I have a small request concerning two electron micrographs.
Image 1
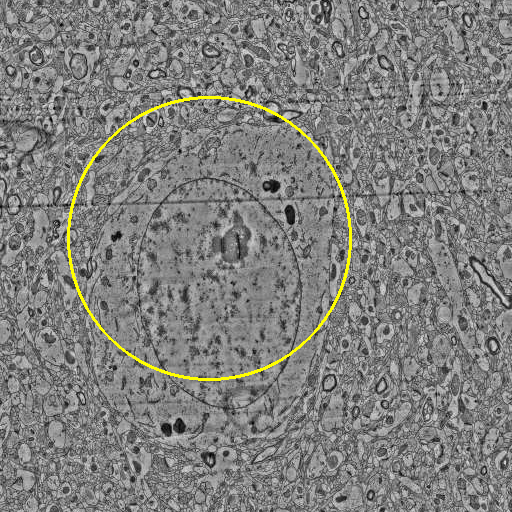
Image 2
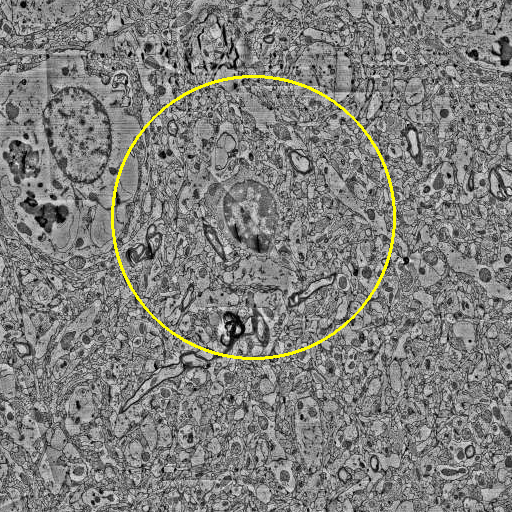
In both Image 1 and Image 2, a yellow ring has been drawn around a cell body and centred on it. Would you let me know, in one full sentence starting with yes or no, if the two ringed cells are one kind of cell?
No, the cells ringed in Image 1 and Image 2 are two kinds of cell.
